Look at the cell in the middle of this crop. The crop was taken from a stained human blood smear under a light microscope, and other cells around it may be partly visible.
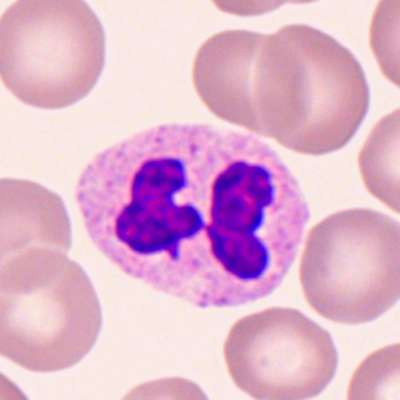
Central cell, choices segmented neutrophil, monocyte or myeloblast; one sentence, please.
In the middle of this smear crop is a segmented neutrophil.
